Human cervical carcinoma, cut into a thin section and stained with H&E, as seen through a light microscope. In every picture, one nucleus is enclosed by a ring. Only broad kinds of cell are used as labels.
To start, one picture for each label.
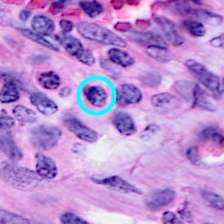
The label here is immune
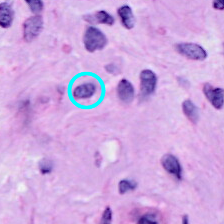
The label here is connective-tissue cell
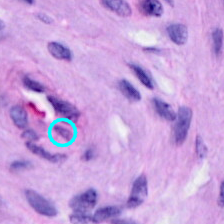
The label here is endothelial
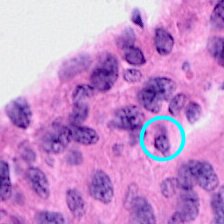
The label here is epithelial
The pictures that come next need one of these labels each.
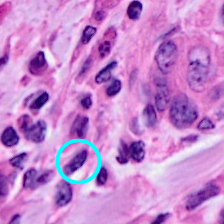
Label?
immune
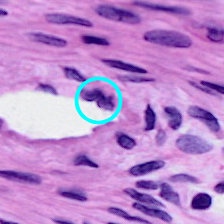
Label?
endothelial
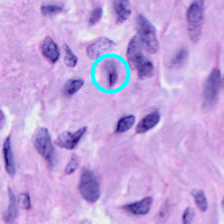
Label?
connective-tissue cell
